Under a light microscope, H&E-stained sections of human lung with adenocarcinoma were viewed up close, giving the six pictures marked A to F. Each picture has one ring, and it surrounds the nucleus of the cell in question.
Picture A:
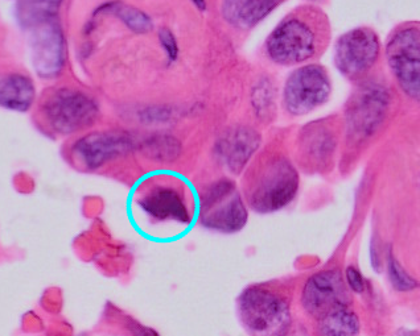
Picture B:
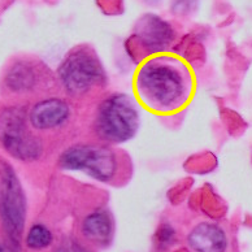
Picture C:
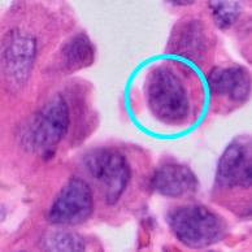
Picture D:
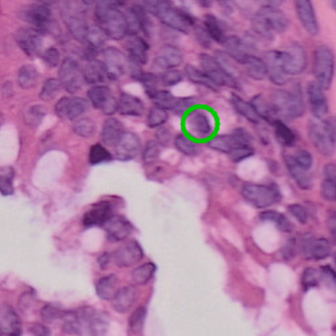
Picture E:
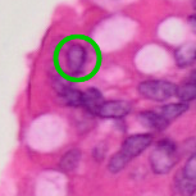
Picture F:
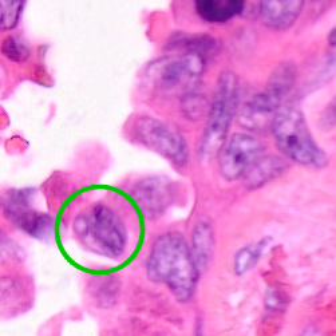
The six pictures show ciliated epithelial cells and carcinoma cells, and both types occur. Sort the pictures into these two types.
A: carcinoma cell
B: carcinoma cell
C: carcinoma cell
D: ciliated epithelial cell
E: ciliated epithelial cell
F: carcinoma cell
